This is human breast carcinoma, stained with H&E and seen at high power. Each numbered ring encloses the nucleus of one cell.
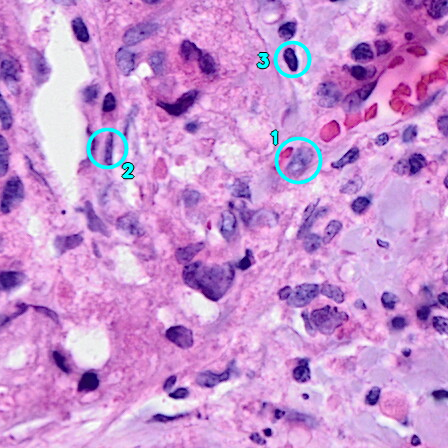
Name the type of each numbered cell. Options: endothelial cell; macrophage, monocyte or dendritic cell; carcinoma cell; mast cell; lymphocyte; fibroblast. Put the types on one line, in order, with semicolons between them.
endothelial cell; fibroblast; lymphocyte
